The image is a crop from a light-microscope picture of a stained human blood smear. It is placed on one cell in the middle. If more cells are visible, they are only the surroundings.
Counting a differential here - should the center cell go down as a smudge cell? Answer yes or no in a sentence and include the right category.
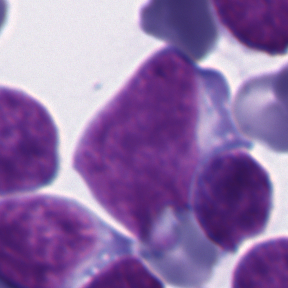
No, the cell sitting in the middle is a myeloblast, and it is not a smudge cell.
